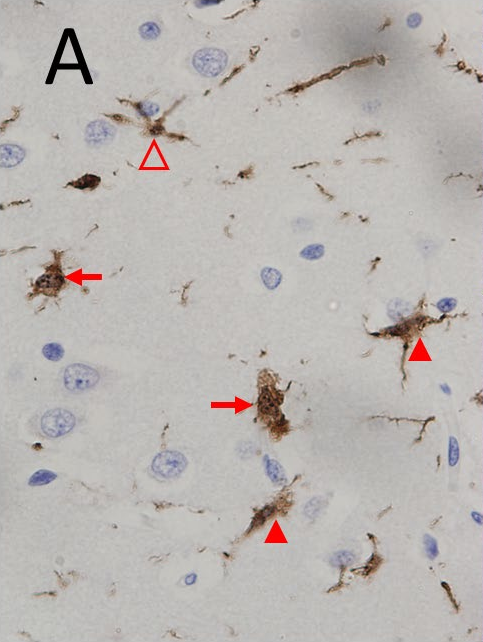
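This is nervous tissue with brown-stained microglia in different states of activation, scattered among pale blue, round to oval nuclei of other cells. Some microglia are compact, rounded brown bodies without processes, looking amoeboid. Others have a cell body with a few short, thickened branches. A few keep a small body with thin, branching processes. Many fine brown fragments of processes lie scattered in the pale background between the cells. The cells are spaced apart rather than clustered, and the surrounding nuclei are unstained apart from the blue counterstain.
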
